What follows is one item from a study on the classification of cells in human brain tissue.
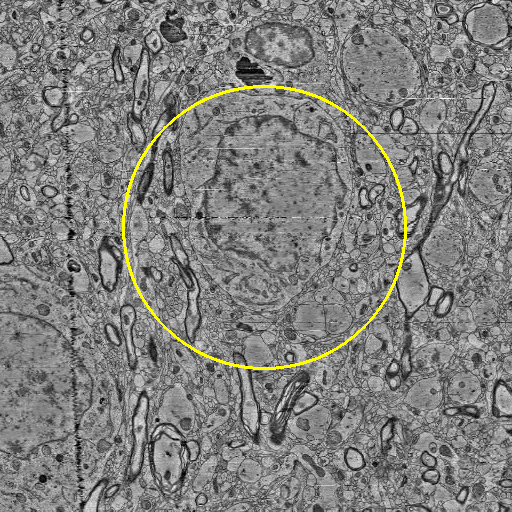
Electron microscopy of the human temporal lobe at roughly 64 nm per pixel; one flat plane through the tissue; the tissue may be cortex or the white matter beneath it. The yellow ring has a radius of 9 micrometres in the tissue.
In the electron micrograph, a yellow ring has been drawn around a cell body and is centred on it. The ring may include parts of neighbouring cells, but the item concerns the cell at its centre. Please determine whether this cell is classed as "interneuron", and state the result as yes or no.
yes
